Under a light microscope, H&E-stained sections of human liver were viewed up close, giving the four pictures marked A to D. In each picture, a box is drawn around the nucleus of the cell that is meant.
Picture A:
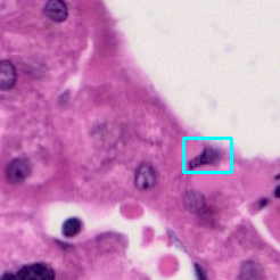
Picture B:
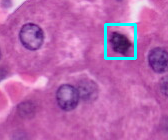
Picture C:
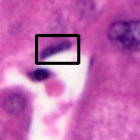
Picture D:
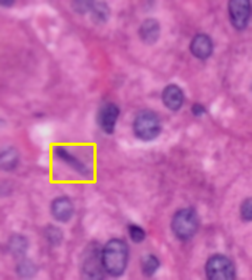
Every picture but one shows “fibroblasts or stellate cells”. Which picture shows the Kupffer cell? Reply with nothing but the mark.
D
